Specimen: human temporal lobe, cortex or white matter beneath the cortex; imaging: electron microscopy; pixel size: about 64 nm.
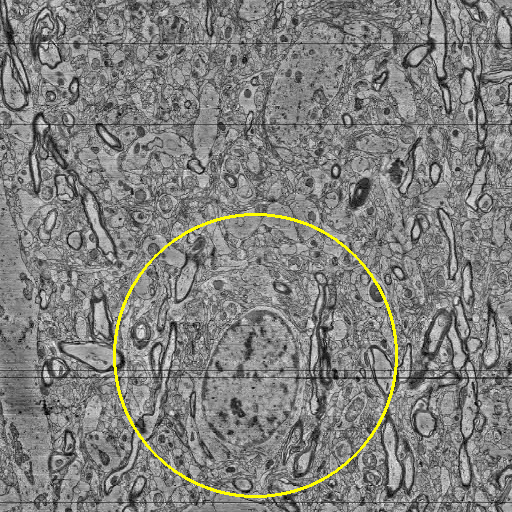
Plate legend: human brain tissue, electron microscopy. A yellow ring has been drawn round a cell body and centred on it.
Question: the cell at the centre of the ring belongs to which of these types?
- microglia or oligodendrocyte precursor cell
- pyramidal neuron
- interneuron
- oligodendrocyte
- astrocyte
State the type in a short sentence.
The cell in the middle of the ring is a microglial cell or oligodendrocyte precursor cell.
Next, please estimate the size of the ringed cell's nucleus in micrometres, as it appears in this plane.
Roughly 9 by 6 micrometers, clearly longer than it is wide in this plane.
